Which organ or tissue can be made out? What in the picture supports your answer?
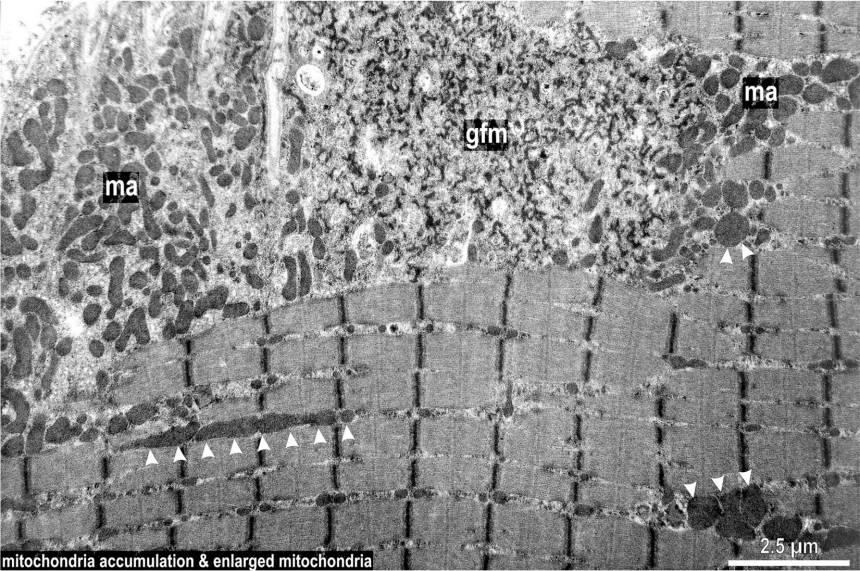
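Regularly repeating sarcomeres with dark transverse Z-lines across parallel myofibrils. Myofibrils run in long parallel bundles. Mitochondria lie between the myofibrils.
Answer: skeletal muscle tissue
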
